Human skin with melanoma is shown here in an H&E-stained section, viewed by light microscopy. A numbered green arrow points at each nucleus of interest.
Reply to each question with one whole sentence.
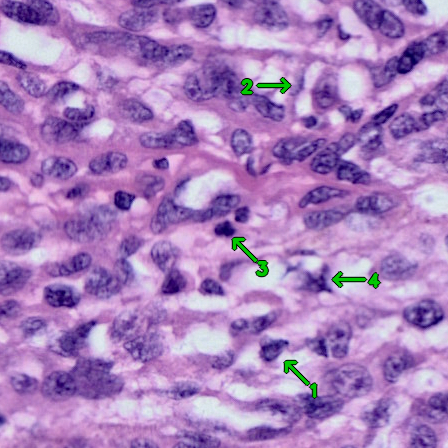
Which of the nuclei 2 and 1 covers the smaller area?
Nucleus 2 is the smaller one; nucleus 1 covers about 3 times its area.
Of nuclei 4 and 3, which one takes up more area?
Nucleus 4 is the larger one, covering about 2 times the area of nucleus 3.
